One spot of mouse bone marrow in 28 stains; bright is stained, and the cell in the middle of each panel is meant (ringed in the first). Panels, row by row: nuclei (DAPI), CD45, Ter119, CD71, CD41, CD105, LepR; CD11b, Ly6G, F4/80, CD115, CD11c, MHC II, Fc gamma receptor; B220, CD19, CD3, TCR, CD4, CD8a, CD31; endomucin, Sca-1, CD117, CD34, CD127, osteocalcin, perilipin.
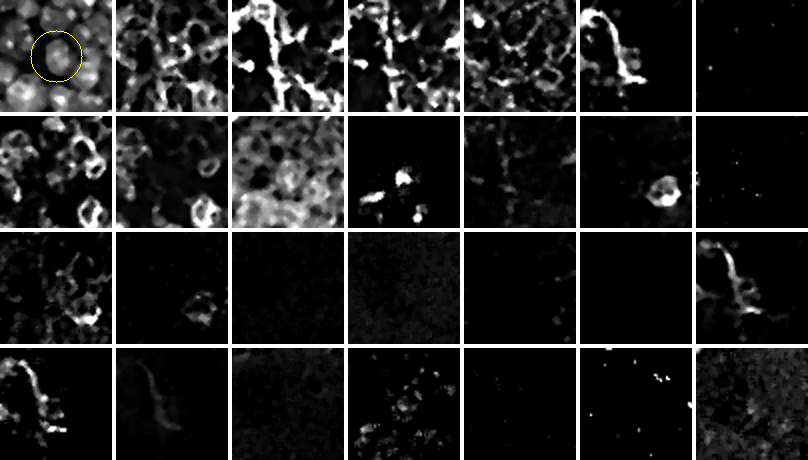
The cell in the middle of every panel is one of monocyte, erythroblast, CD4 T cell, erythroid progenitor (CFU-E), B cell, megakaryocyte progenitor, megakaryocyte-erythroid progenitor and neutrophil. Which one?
monocyte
